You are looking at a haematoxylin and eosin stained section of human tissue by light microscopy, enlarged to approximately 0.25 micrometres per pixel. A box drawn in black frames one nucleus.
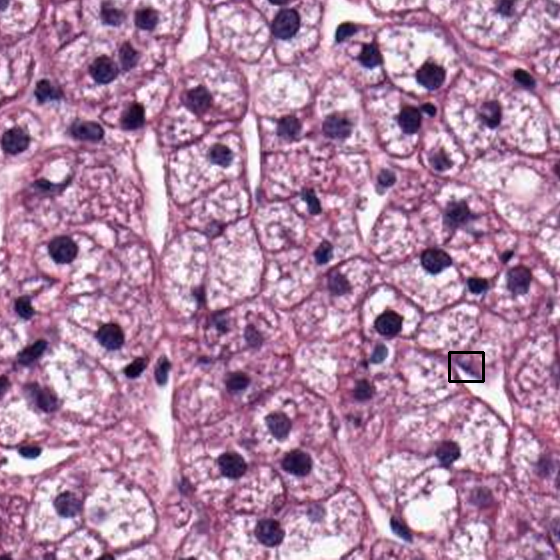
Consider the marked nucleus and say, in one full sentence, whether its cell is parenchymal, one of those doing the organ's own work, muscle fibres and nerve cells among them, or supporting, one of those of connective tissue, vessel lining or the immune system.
As for the marked nucleus, it belongs to a supporting cell.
